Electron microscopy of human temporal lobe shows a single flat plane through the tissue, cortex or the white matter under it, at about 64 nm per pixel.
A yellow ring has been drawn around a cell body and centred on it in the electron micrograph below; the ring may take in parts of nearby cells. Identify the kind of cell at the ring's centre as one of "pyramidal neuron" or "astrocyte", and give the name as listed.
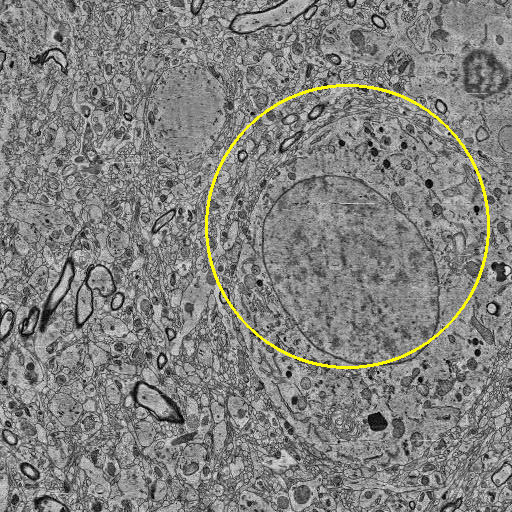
pyramidal neuron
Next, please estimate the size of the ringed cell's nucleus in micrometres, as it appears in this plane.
About 14 by 10 micrometers for the nucleus, in this plane.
